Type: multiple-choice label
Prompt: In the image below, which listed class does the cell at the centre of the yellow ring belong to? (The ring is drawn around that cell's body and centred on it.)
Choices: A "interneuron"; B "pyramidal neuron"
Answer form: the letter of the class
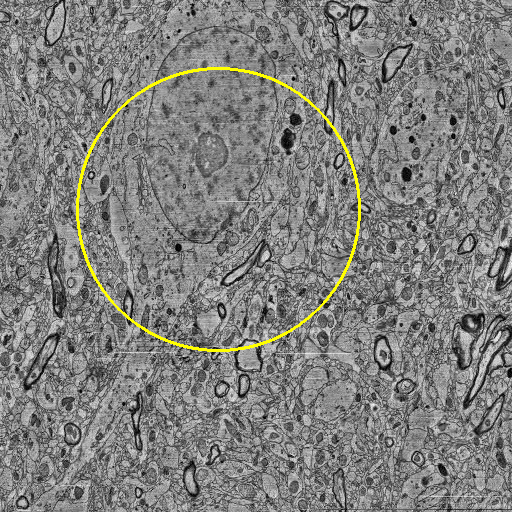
B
